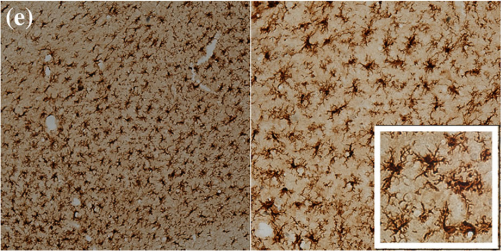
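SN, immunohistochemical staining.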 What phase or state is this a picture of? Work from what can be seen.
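Cells have enlarged, darkly stained bodies. Processes are thickened and bushy. Stained cells are numerous across the field. That points to this answer: typical activated form.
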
